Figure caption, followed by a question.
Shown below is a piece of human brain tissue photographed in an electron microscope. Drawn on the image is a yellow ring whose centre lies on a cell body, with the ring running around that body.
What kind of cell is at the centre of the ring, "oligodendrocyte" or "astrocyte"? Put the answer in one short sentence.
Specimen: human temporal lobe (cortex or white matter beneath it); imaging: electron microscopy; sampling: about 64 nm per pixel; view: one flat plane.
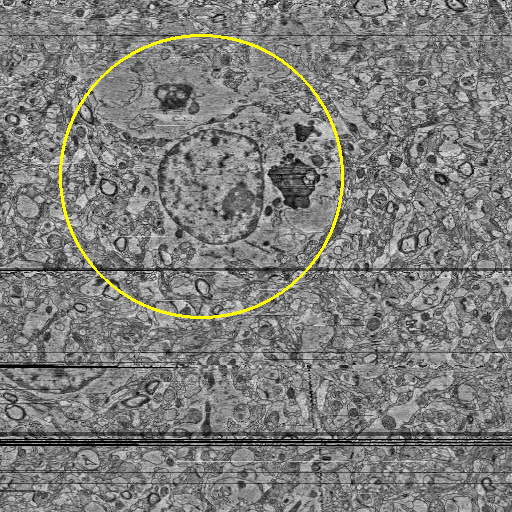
The ring marks the cell body of an astrocyte.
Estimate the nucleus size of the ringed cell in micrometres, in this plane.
The nucleus measures about 7 micrometers across in this plane.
